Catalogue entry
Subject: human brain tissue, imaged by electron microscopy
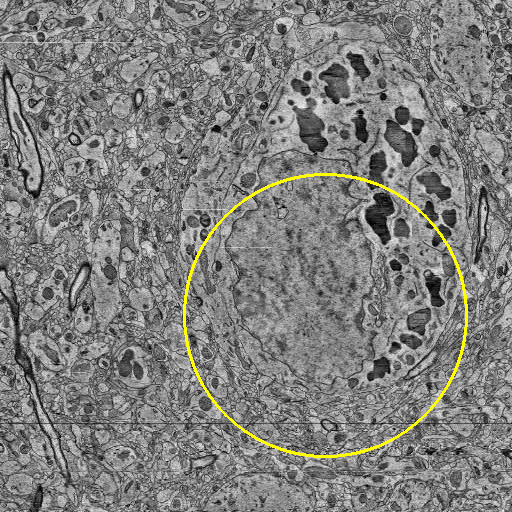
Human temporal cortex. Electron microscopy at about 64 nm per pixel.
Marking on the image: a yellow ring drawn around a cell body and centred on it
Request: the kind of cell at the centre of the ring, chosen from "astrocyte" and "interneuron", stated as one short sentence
The ring has an interneuron at its centre.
